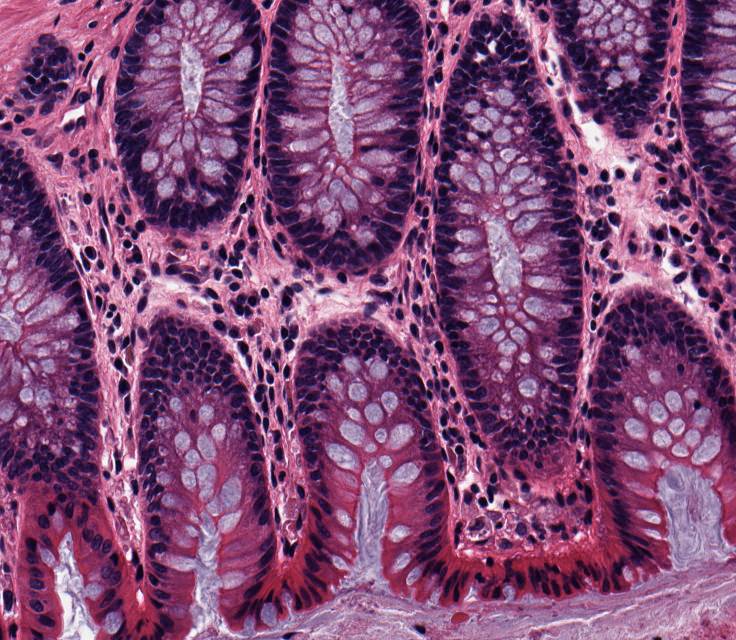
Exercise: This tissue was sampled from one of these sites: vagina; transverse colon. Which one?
transverse colon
